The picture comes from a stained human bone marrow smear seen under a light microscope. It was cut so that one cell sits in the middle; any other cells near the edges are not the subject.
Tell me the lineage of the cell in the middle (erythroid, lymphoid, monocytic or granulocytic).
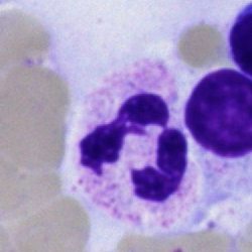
granulocytic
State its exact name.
segmented neutrophil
